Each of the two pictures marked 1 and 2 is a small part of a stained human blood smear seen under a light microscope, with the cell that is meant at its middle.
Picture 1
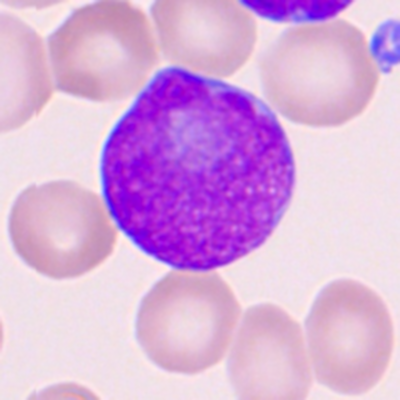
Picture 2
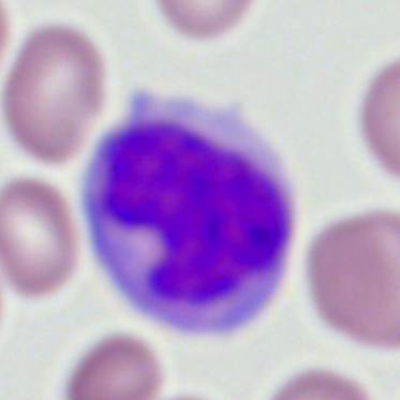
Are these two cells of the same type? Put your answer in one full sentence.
No, picture 1 shows a myeloblast and picture 2 shows a monocyte.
